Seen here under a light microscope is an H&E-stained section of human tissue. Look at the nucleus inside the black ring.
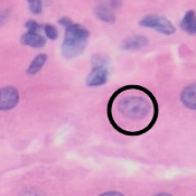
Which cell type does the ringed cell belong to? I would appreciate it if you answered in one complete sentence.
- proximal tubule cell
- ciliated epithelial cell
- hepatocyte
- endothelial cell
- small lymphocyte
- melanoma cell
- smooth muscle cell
Cytologically, the ringed cell is to be regarded as a proximal tubule cell.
